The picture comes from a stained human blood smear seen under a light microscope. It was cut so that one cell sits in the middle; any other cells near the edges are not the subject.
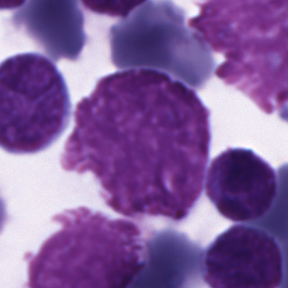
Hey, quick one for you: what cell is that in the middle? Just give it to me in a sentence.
Located at the centre of the crop is a smudge cell.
